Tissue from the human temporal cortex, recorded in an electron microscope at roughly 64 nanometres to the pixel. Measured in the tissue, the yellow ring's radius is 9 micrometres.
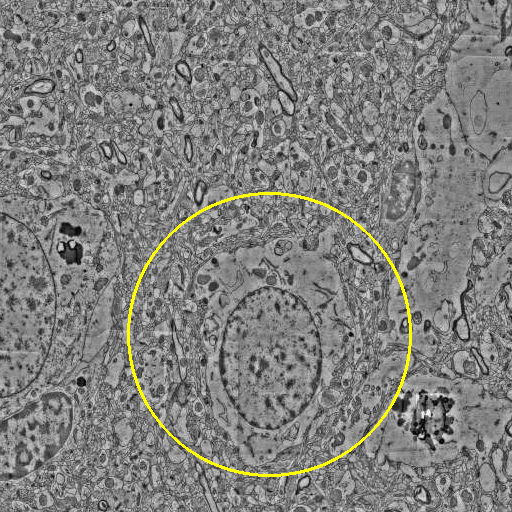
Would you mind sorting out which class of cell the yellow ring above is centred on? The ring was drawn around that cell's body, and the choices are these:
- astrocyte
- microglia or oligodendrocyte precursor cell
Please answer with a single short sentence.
This is the cell body of an astrocyte.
